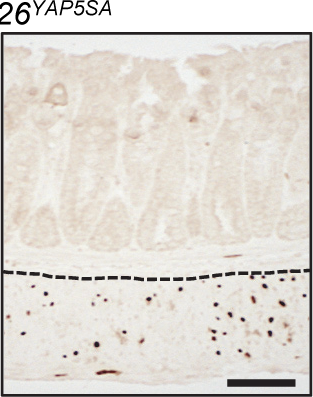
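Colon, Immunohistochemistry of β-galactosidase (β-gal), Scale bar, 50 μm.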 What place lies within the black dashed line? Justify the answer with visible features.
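Stroma-smooth muscle boundary. The dashed line runs below the colonic crypt bases. Below the line lies a band with scattered brown nuclei. Above the line lie straight crypts without villi.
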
